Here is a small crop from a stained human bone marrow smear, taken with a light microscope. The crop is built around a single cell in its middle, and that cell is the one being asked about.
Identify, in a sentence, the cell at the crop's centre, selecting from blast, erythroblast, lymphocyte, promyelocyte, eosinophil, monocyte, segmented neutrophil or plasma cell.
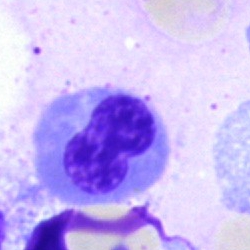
The cell that lies at the centre of the crop is an erythroblast.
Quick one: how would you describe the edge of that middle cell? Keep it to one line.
Its outline is smooth, with no projections anywhere along the edge.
